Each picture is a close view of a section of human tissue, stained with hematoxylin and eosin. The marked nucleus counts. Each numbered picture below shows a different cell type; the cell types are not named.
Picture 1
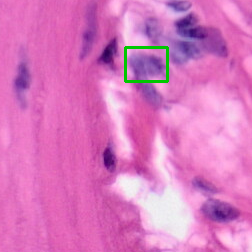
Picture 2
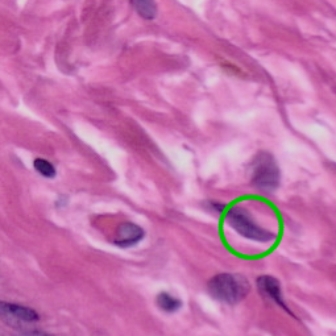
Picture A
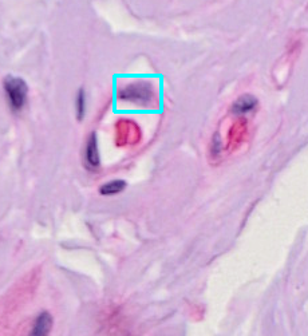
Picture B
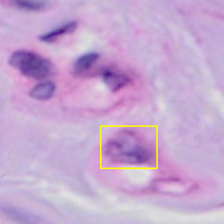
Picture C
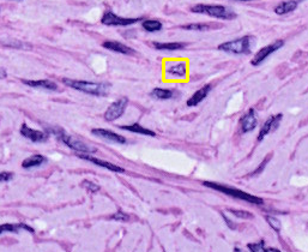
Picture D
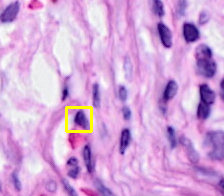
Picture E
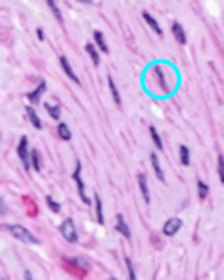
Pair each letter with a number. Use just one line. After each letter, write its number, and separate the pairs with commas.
A 1, B 1, C 2, D 1, E 2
